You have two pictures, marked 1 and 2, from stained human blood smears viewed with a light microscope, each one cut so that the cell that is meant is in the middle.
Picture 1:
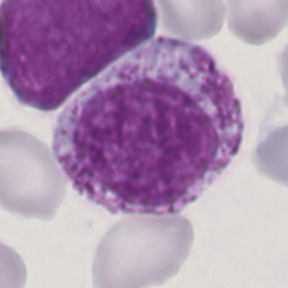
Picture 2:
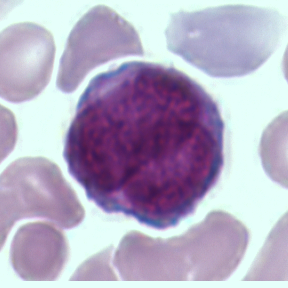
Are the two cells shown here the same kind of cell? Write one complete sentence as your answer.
No, they differ: the cell is a myelocyte in picture 1 and an atypical promyelocyte in picture 2.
